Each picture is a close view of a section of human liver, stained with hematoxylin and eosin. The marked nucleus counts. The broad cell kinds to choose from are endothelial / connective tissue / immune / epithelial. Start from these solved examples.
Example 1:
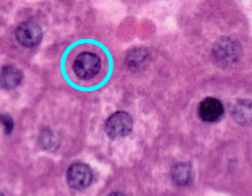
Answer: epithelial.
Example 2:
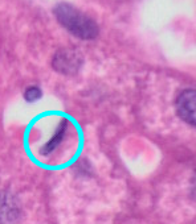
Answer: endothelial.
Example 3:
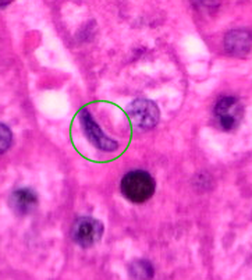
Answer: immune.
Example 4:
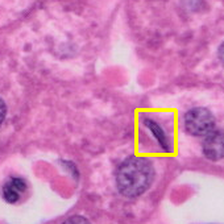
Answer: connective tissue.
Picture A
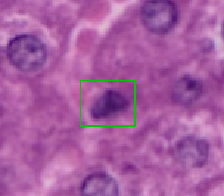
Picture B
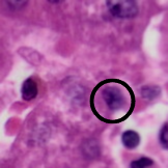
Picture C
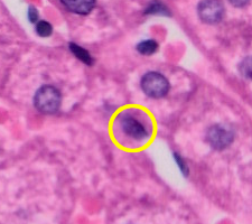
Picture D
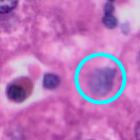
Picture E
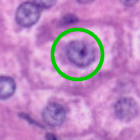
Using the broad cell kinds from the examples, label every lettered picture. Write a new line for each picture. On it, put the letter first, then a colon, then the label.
A: endothelial.
B: connective tissue.
C: connective tissue.
D: endothelial.
E: epithelial.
